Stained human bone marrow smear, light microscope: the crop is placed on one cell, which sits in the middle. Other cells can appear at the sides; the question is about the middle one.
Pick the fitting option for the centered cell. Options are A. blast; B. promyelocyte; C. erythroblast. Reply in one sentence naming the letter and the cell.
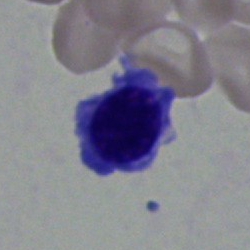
Option C gives the correct identity of the central cell, namely an erythroblast.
